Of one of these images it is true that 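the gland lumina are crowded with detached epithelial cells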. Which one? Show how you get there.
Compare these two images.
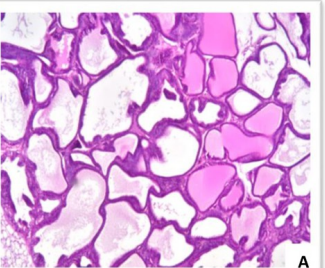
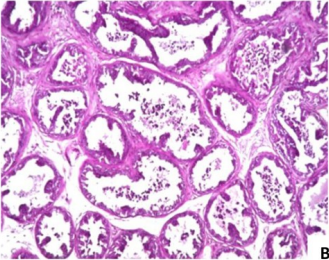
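First image: lumina hold clear or homogeneous pink secretion without cell clusters. Second image: most lumina contain many loose clusters of shed cells.
Conclusion: the second image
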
